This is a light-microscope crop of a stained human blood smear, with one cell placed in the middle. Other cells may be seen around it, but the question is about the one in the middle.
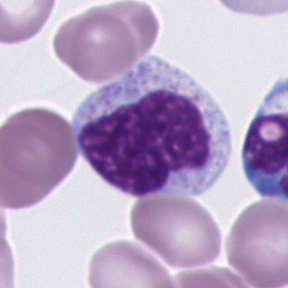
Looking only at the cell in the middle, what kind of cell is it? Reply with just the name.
band neutrophil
